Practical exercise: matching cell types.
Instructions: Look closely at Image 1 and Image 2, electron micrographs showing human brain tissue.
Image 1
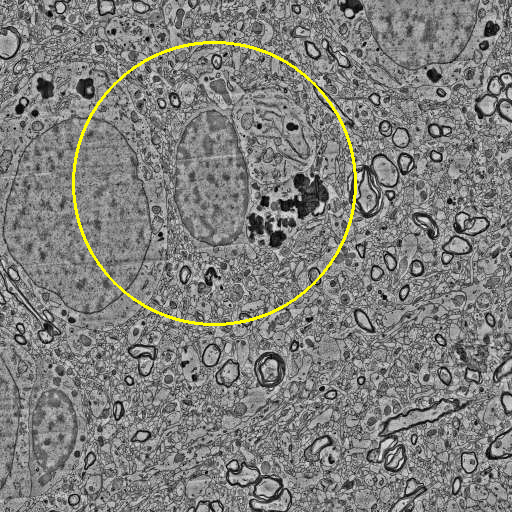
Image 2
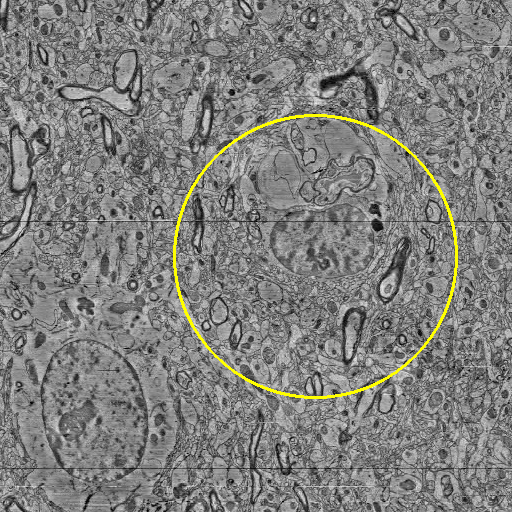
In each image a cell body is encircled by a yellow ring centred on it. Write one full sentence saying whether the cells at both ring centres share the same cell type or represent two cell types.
Across Image 1 and Image 2, the cells at the ring centres share the same cell type.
